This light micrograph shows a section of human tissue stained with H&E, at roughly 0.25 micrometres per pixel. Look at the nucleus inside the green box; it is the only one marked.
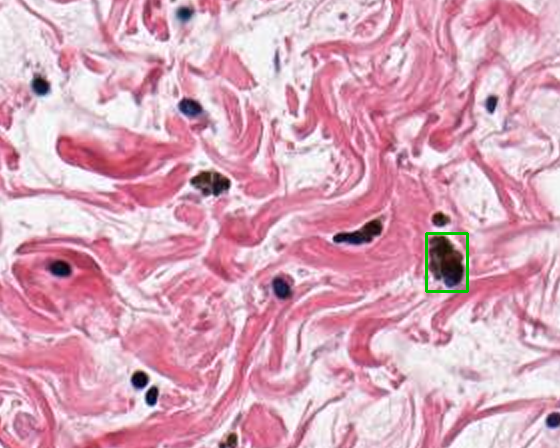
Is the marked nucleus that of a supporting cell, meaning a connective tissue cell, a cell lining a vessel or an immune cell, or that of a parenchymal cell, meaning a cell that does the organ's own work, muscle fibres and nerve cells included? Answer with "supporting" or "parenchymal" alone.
supporting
